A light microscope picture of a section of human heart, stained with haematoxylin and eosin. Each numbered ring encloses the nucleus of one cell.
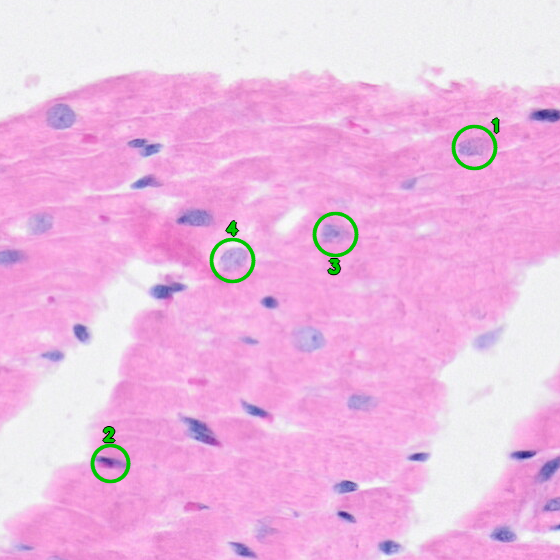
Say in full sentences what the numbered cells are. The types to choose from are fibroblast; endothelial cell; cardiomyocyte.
Cells 1, 3 and 4 are cardiomyocytes. Cell 2 is an endothelial cell.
